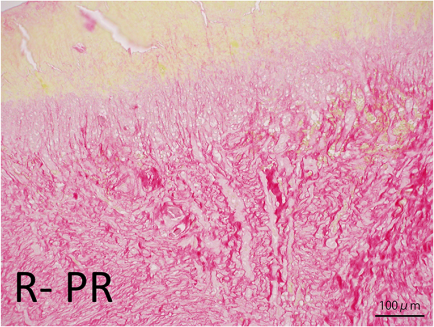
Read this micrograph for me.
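Under a pale yellowish top layer, the field is filled with densely packed connective tissue stained strongly pink to red. Fine fibers run in a fine network, and thicker red bundles run roughly vertically through the tissue from the top downward.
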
